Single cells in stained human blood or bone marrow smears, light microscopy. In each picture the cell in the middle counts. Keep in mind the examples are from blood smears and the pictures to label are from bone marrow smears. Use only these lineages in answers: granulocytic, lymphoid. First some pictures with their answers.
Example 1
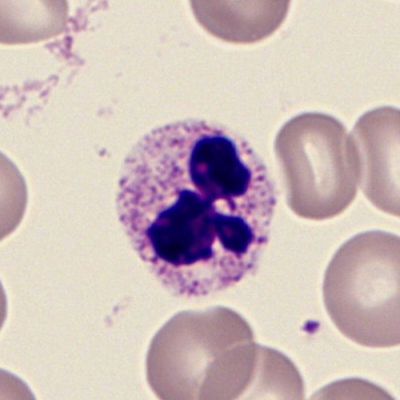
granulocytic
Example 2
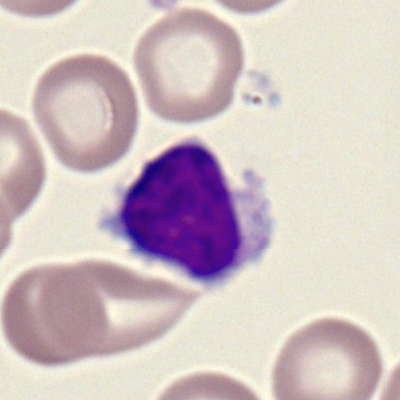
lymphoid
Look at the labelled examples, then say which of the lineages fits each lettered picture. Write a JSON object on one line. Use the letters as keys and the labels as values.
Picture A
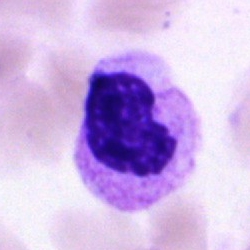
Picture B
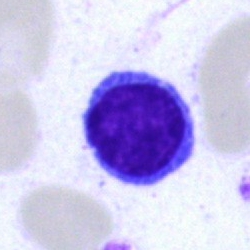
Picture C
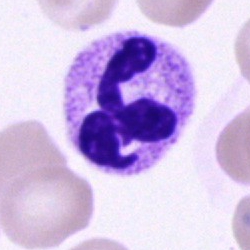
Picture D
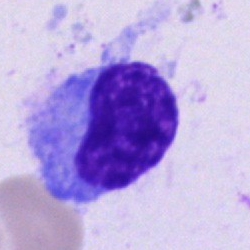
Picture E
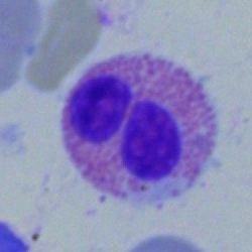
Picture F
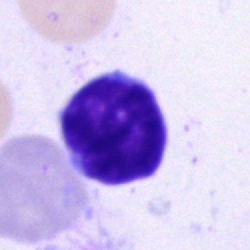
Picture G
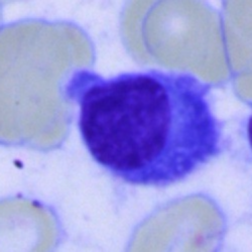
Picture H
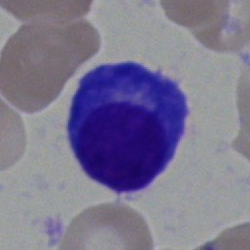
{"A": "granulocytic", "B": "lymphoid", "C": "granulocytic", "D": "lymphoid", "E": "granulocytic", "F": "lymphoid", "G": "lymphoid", "H": "lymphoid"}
